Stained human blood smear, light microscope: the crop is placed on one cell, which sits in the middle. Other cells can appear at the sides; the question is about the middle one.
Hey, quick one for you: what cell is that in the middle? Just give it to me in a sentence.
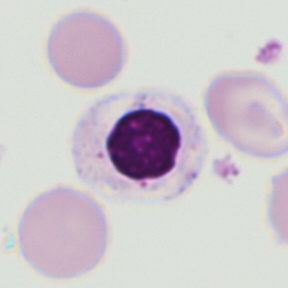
The middle position in this crop is taken by a normoblast.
